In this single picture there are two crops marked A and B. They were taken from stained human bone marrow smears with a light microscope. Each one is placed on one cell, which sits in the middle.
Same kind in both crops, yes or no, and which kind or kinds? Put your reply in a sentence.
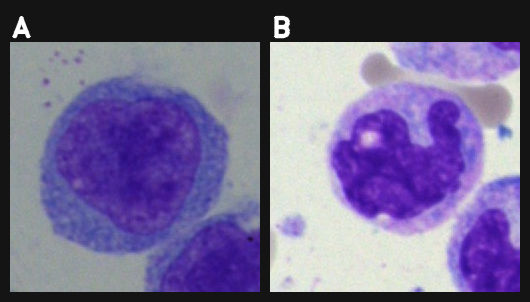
No, crop A and crop B contain, respectively, a blast and a monocyte.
